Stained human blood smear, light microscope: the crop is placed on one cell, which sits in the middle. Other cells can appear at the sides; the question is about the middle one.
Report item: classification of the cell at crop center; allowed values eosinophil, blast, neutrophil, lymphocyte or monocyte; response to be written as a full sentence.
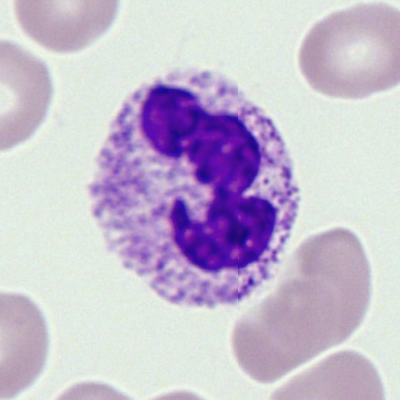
In the centre of this crop there is a neutrophil.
